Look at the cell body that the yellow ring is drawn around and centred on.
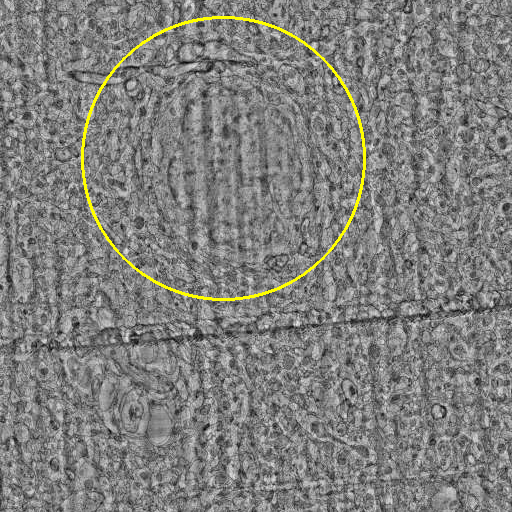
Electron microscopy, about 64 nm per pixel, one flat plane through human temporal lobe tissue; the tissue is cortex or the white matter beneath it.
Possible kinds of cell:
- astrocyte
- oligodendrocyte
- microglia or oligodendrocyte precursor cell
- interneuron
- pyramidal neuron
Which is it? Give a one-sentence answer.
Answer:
The centred cell body is that of an interneuron.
